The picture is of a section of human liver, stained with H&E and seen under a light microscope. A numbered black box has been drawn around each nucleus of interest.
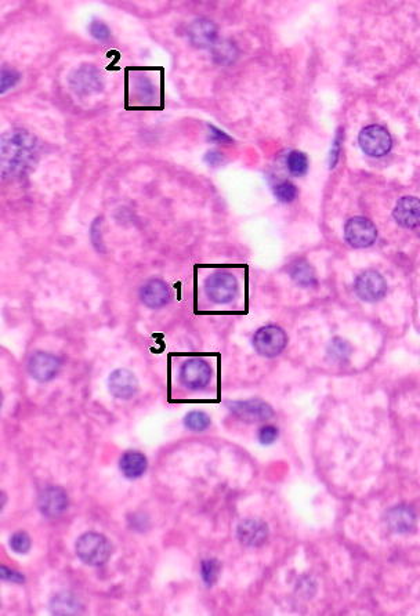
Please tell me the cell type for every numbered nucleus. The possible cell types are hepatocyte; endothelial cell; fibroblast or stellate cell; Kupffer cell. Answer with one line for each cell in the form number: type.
1: hepatocyte
2: Kupffer cell
3: hepatocyte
